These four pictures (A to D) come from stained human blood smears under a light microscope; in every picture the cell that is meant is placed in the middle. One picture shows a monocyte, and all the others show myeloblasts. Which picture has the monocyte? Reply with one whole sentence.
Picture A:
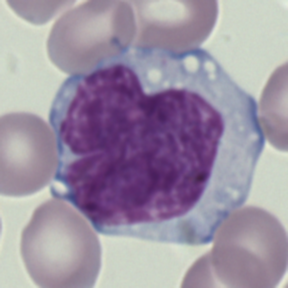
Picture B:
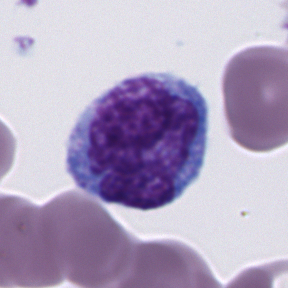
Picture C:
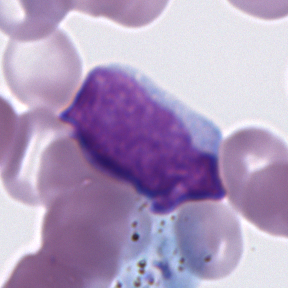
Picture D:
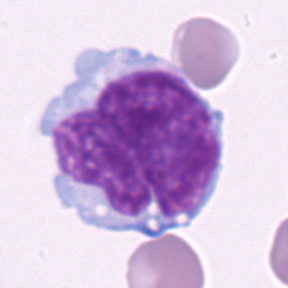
The monocyte is the one in picture B.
